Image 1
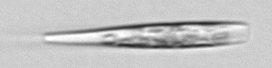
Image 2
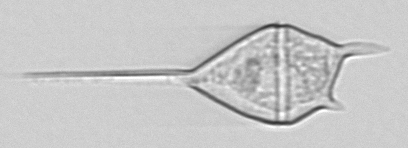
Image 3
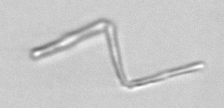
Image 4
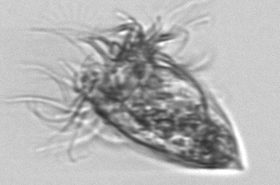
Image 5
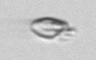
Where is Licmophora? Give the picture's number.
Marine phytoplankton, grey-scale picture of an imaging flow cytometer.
1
